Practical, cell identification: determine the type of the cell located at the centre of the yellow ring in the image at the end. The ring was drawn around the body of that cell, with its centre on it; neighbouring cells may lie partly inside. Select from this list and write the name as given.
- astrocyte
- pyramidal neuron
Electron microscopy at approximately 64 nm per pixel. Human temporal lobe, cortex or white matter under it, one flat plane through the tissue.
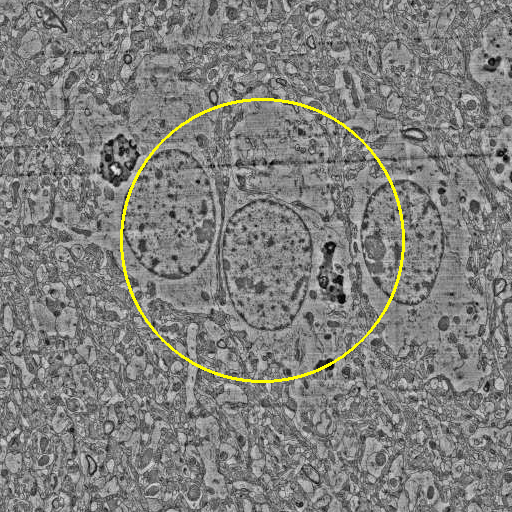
astrocyte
